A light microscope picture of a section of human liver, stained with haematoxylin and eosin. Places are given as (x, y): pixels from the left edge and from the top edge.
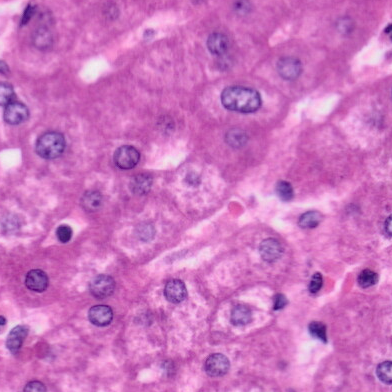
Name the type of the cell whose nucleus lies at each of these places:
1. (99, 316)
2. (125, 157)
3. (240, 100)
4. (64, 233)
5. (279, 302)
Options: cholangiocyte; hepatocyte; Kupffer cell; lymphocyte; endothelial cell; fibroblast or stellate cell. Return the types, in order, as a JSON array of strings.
["hepatocyte", "hepatocyte", "hepatocyte", "lymphocyte", "fibroblast or stellate cell"]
